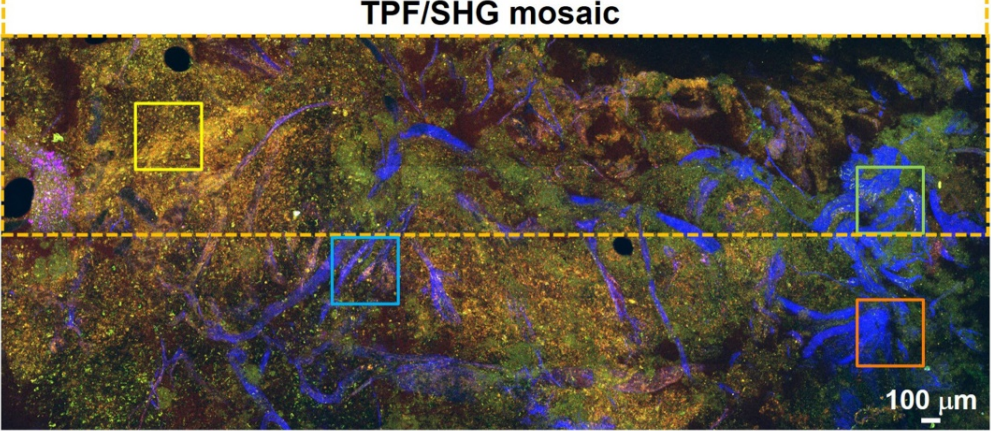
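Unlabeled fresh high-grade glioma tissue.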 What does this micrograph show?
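This wide mosaic of brain tumour tissue shows a mottled yellow-orange and green granular background. Winding blue bands and tubular strands cross the background, and they gather most densely towards the right-hand side. On the left, a broad yellow-orange area has a hazy texture without blue strands, consistent with a region of necrosis. The branching blue tubular strands in the middle suggest proliferating small vessels. Scattered dark holes and dark reddish patches break up the tissue.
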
